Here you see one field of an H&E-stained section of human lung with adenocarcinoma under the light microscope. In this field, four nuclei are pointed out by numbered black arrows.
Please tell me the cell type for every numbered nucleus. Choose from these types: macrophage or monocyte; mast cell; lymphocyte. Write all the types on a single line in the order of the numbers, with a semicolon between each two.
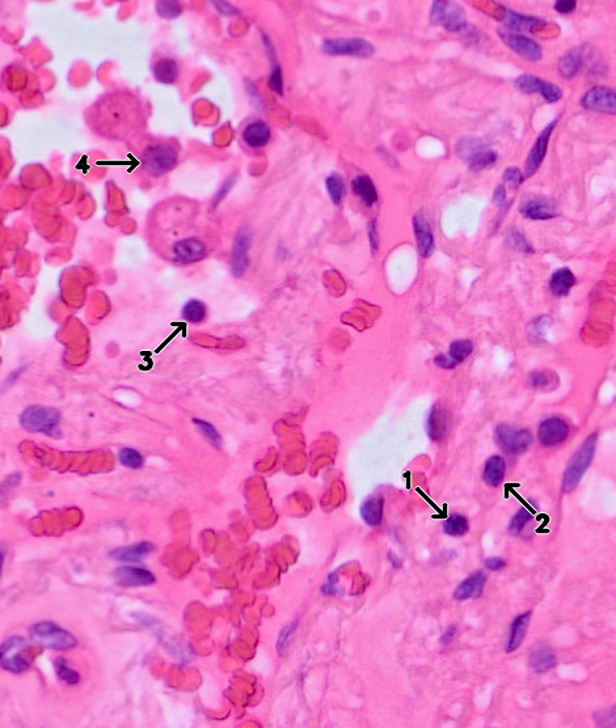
lymphocyte; mast cell; lymphocyte; macrophage or monocyte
